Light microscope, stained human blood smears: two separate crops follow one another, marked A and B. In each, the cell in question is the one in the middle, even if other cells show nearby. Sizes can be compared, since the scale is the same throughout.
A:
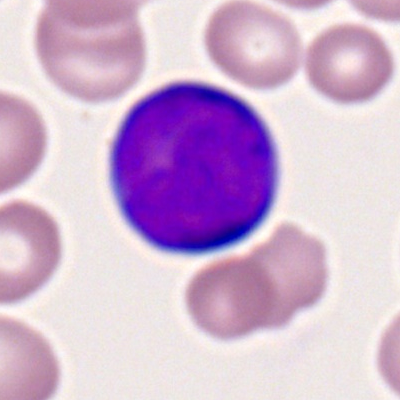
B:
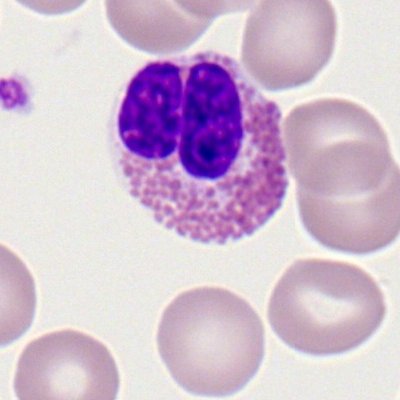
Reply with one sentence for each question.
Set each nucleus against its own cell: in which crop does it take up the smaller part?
It is the cell in crop B that is filled less by its nucleus.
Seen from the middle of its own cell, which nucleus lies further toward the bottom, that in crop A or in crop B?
Seen within its cell, the nucleus in crop A lies further toward the bottom.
